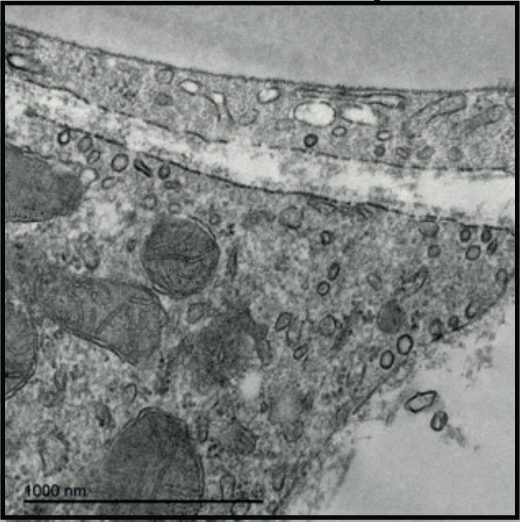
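Along the top runs the cell's outer border, lined by a thin layer and a row of many small round vesicles. Below it the cytoplasm is finely granular and holds several mitochondria, round to oval, with visible internal cristae, scattered among further small vesicles and membrane profiles. The cytoplasm appears as a fairly broad band here, and no large membrane-enclosed compartments wrapping other organelles stand out.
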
